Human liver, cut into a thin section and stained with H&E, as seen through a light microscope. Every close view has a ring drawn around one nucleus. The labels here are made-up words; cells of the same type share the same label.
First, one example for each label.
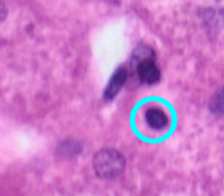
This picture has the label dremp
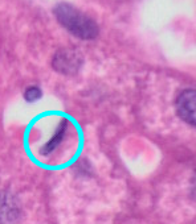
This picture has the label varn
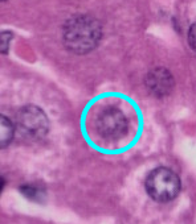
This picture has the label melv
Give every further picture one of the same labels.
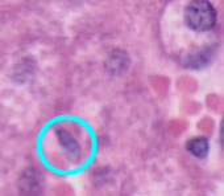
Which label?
varn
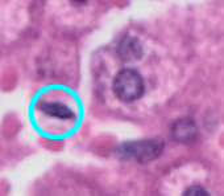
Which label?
dremp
